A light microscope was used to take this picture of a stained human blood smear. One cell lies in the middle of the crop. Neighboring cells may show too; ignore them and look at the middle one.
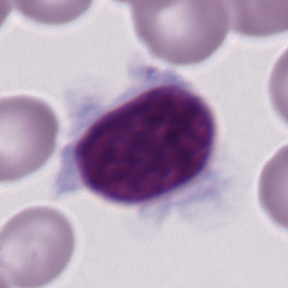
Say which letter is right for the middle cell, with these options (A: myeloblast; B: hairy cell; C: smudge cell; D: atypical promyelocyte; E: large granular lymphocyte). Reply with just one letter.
B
